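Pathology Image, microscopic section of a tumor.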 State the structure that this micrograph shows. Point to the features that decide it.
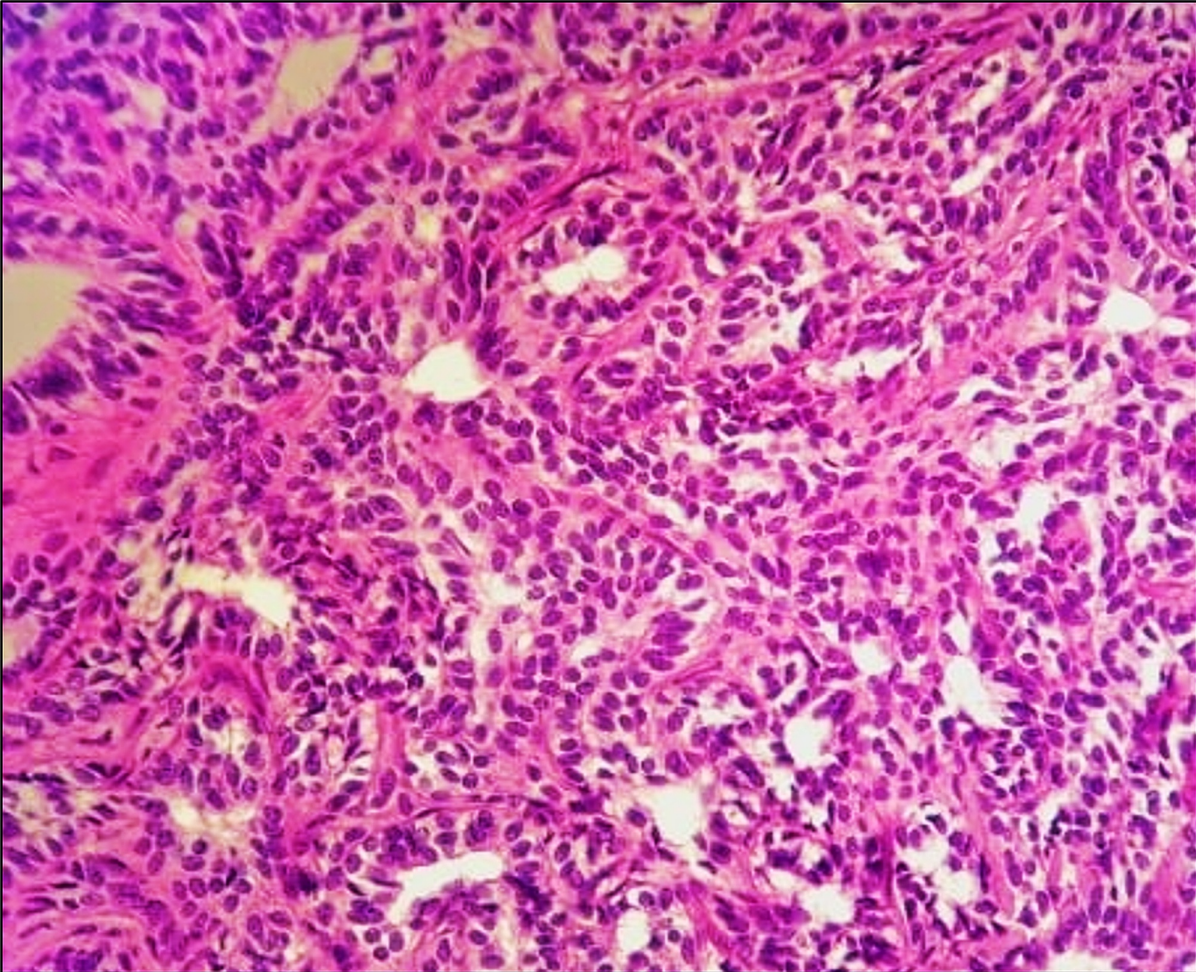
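Cords, and tubules. Cells are lined up in narrow strands separated by thin pink fibrous bands. Small clear spaces are rimmed by cells, forming tubule-like lumens.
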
